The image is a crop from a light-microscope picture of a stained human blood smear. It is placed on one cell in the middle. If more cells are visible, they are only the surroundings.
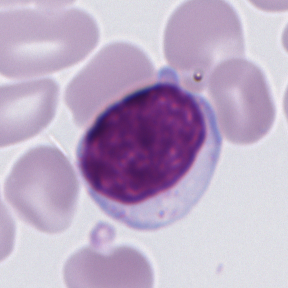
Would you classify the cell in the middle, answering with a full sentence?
To answer, the cell in the center of the crop is a large granular lymphocyte.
